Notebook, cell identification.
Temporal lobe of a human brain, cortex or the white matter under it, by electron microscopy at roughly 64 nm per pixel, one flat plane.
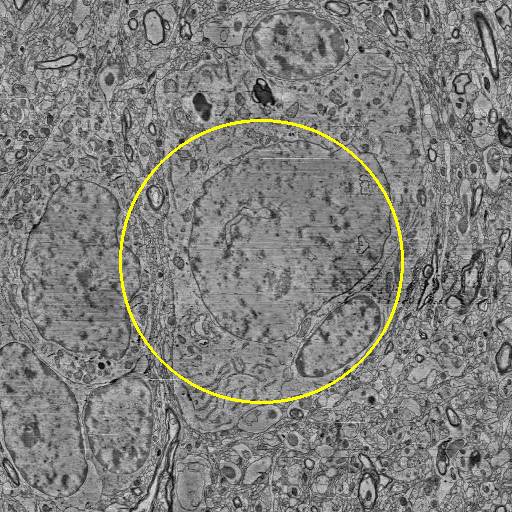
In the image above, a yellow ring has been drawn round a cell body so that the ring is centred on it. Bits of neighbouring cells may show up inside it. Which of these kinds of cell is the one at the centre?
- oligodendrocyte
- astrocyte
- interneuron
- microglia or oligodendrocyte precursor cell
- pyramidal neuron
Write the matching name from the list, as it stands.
pyramidal neuron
